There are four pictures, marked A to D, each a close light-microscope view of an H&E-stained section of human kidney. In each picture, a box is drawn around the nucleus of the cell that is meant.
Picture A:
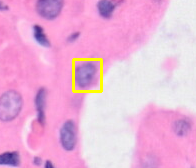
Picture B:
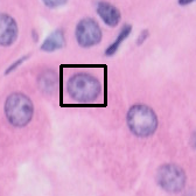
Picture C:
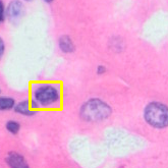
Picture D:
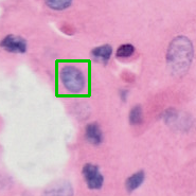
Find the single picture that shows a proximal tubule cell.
B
